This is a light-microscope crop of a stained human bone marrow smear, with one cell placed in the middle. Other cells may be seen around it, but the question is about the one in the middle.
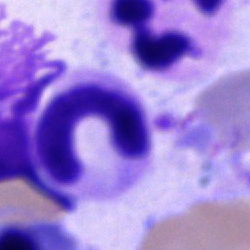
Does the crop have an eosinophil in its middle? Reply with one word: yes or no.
no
